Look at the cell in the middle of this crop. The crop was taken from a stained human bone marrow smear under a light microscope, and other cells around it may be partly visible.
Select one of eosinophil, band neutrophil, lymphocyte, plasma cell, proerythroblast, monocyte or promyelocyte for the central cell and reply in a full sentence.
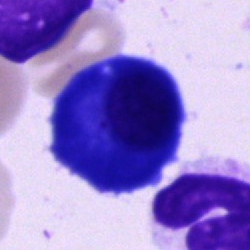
Answering briefly, the cell in the middle is a plasma cell.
